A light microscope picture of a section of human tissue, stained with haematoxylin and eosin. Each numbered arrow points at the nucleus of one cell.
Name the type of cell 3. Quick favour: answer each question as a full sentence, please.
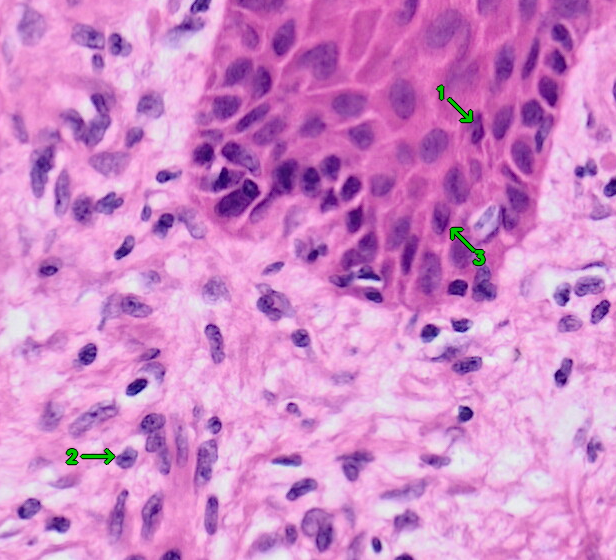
It is as a keratinocyte that the cell numbered 3 is identified.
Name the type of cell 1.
The cell indicated with the number 1 is classed as a keratinocyte.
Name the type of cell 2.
The nucleus marked 2 is the nucleus of a lymphocyte.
